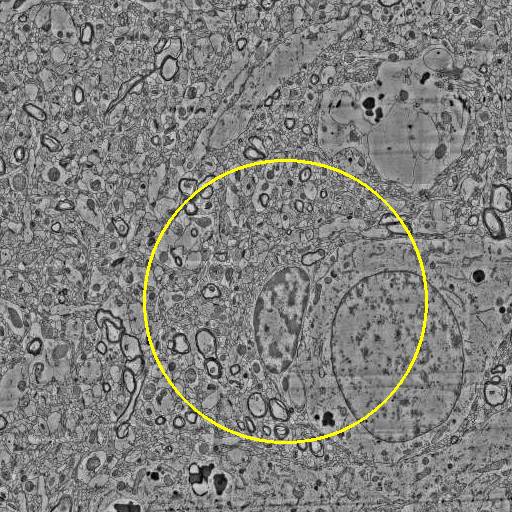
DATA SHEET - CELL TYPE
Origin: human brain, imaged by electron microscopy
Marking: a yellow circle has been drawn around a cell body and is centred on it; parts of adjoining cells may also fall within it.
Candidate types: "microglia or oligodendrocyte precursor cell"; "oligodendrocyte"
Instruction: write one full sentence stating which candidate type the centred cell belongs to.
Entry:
The cell body at the centre of the yellow ring in this micrograph belongs to a microglial cell or oligodendrocyte precursor cell.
